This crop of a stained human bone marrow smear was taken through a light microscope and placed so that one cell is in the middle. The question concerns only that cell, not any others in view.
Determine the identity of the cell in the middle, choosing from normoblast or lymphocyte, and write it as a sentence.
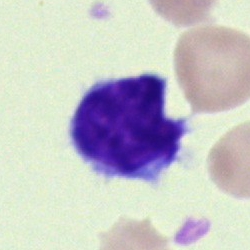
In the center of this field lies a lymphocyte.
